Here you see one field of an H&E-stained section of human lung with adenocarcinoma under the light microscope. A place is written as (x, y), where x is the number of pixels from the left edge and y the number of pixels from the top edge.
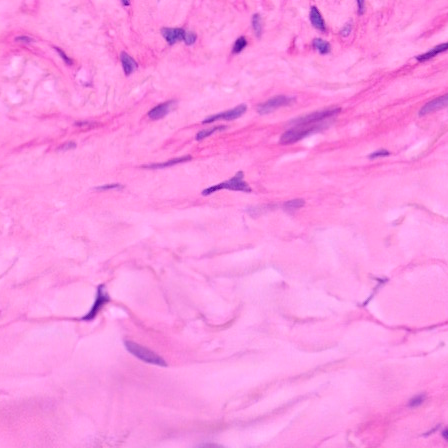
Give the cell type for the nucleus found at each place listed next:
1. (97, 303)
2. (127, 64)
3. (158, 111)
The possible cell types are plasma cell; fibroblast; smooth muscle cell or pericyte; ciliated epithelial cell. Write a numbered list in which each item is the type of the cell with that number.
1. fibroblast
2. smooth muscle cell or pericyte
3. smooth muscle cell or pericyte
